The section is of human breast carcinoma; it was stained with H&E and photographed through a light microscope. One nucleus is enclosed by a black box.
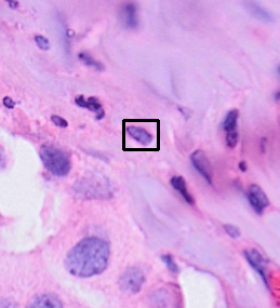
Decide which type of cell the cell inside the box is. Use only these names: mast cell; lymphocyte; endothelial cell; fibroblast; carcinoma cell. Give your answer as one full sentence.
The cell inside the box is a mast cell.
